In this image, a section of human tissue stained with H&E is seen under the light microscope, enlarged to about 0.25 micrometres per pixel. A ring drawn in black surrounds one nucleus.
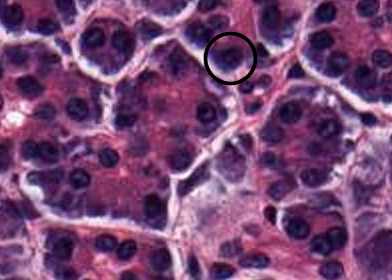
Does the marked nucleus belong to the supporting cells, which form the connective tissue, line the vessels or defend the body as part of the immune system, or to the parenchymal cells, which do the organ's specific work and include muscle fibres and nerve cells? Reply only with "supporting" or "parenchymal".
parenchymal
